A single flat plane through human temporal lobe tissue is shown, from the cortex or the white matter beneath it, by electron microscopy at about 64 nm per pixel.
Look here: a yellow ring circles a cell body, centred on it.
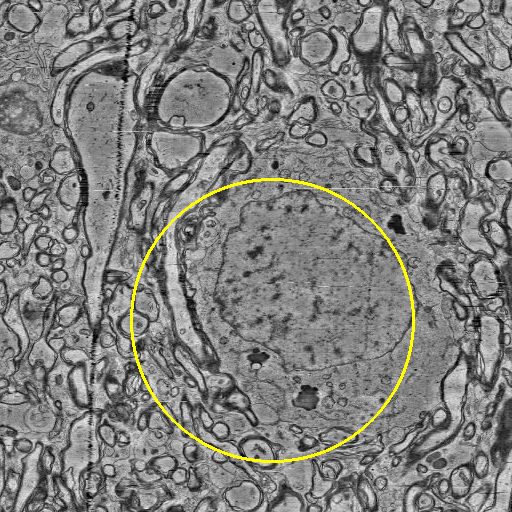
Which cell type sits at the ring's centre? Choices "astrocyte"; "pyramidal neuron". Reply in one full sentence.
The cell at the centre of the yellow ring in the picture is a pyramidal neuron.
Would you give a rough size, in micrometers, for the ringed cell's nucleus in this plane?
The nucleus measures about 13 by 11 micrometres in this plane.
